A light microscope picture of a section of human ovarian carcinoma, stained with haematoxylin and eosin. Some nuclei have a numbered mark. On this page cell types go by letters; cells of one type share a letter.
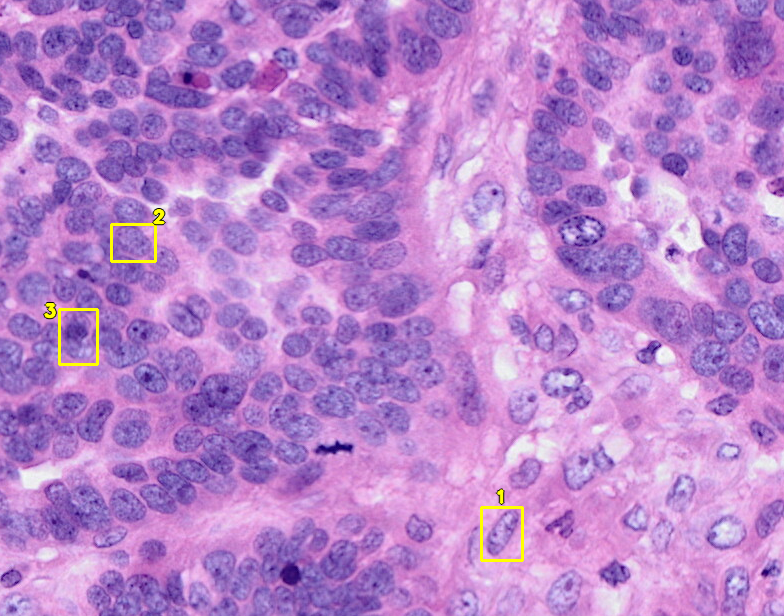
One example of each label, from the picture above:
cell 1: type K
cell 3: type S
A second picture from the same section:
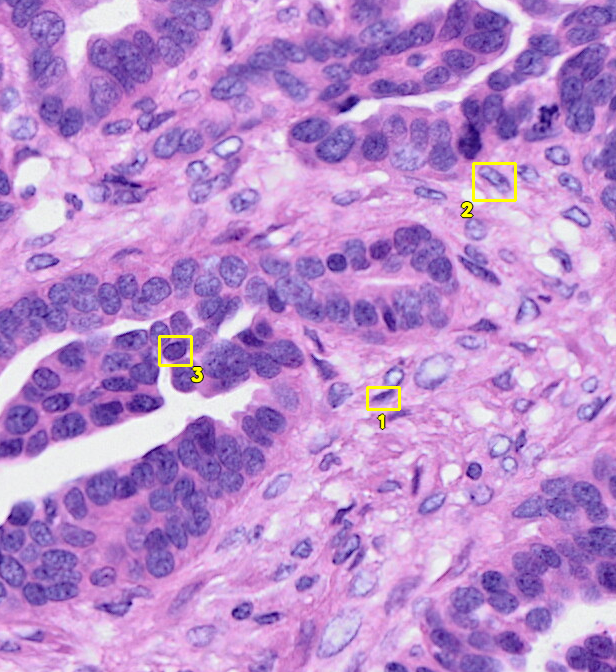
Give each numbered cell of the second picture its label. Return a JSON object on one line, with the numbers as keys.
{"1": "type K", "2": "type K", "3": "type S"}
